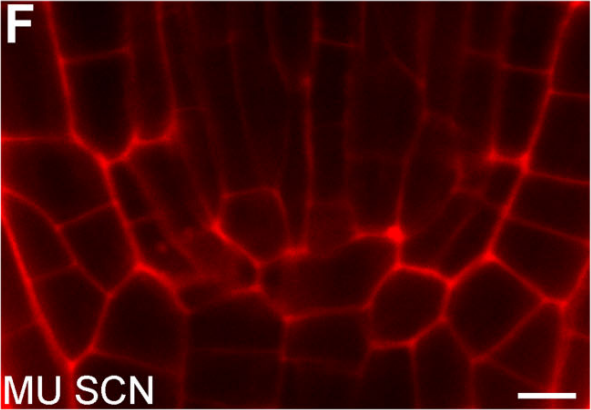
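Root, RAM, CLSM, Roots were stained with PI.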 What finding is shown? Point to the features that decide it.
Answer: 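The central cells do not form a single even row.
Conclusion: abnormal divisions of the quiescent center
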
